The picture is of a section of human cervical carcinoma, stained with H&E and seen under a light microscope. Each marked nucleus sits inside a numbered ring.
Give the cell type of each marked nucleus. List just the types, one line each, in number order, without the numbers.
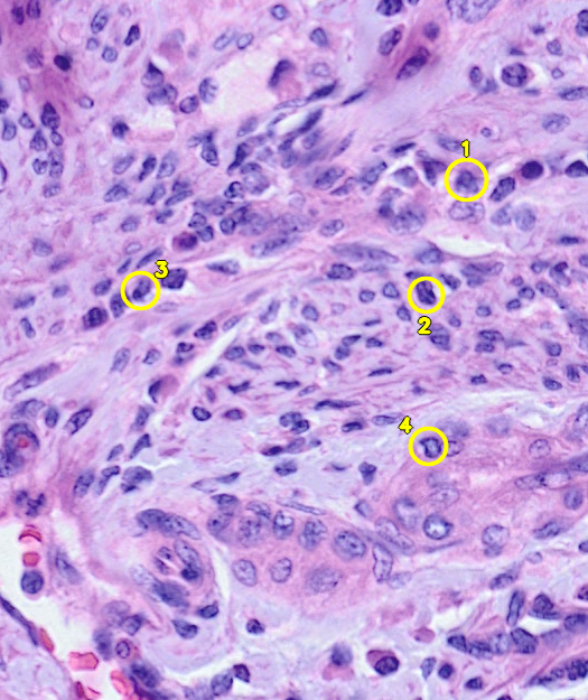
lymphocyte
lymphocyte
lymphocyte
smooth muscle cell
